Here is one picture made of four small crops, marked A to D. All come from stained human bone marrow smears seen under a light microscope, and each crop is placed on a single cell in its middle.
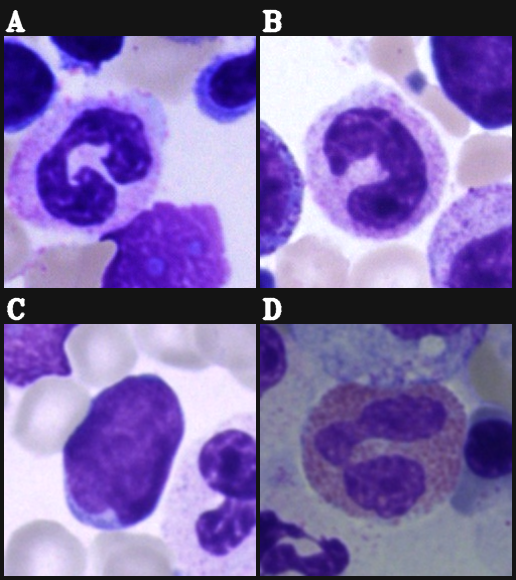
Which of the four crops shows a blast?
C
